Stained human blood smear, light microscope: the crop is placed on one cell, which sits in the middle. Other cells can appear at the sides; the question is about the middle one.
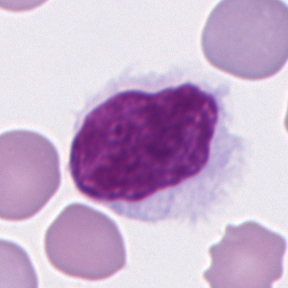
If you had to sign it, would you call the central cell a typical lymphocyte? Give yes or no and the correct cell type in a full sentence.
No, at the centre of this crop is found a hairy cell instead of a typical lymphocyte.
